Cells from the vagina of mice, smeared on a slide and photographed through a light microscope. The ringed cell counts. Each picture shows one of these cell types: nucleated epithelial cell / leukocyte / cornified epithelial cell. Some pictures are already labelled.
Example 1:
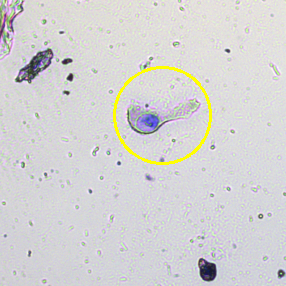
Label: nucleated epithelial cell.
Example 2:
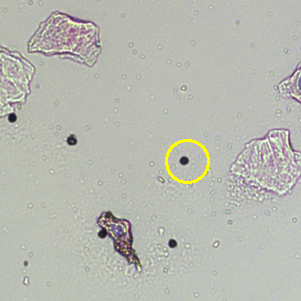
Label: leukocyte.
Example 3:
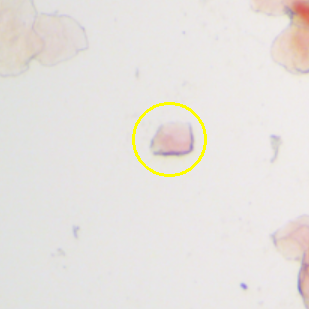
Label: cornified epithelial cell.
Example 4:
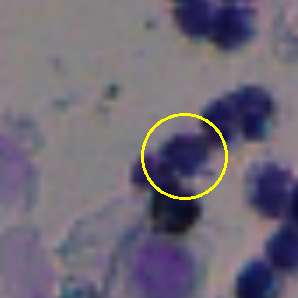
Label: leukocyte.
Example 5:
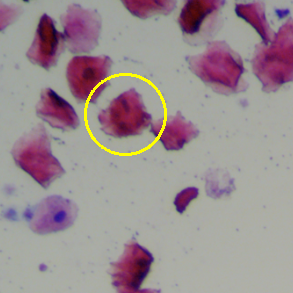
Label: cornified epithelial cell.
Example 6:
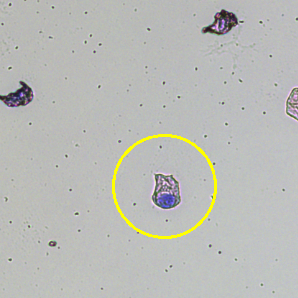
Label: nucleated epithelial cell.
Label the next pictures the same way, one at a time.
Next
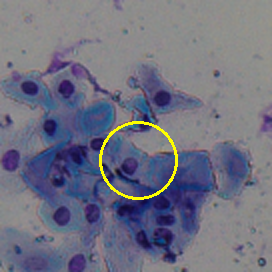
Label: nucleated epithelial cell.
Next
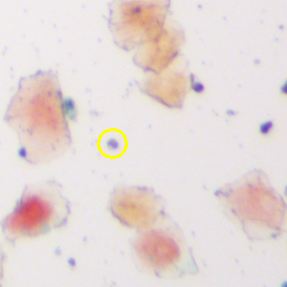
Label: leukocyte.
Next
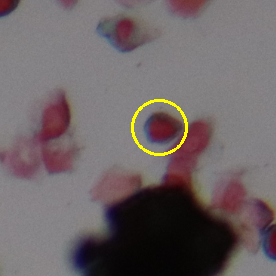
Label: nucleated epithelial cell.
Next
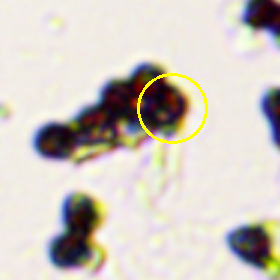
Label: leukocyte.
